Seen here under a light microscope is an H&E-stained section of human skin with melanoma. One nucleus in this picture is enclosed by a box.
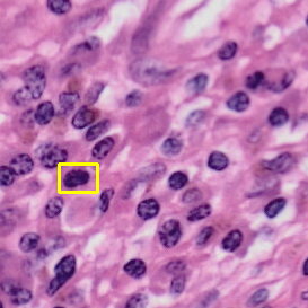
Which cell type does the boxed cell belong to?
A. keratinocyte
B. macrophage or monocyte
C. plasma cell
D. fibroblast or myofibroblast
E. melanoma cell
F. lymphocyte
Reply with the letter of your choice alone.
C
